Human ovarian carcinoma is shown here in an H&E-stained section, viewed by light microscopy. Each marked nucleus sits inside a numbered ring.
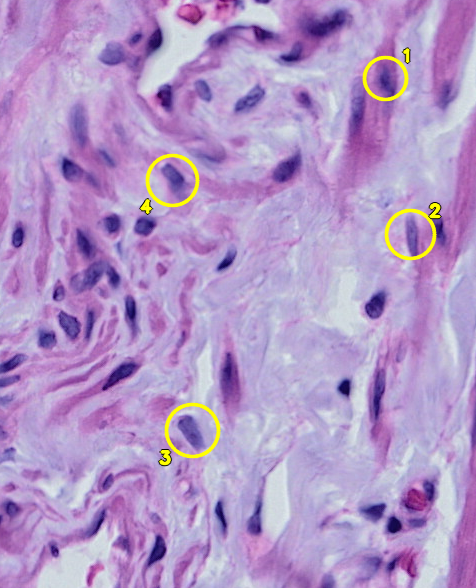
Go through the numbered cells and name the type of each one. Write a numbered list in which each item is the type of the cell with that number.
1. smooth muscle cell
2. smooth muscle cell
3. fibroblast
4. smooth muscle cell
